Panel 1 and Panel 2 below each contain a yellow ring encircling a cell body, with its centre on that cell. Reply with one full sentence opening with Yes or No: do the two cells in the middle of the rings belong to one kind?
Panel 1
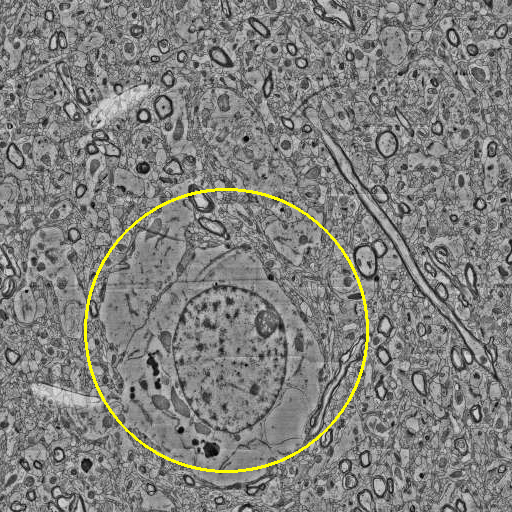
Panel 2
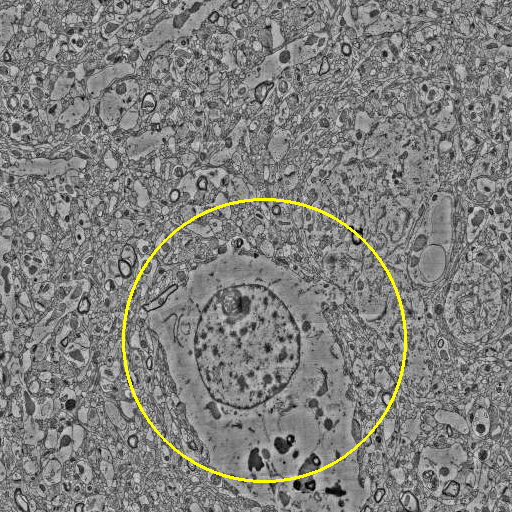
Yes, the cells at the middle of the Panel 1 ring and the Panel 2 ring are of one kind.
